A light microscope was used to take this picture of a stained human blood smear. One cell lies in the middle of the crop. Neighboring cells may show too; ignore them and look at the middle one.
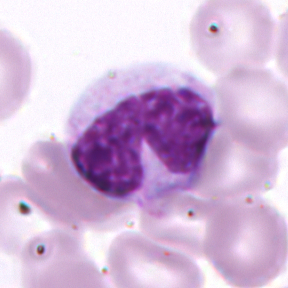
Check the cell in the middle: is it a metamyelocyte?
no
